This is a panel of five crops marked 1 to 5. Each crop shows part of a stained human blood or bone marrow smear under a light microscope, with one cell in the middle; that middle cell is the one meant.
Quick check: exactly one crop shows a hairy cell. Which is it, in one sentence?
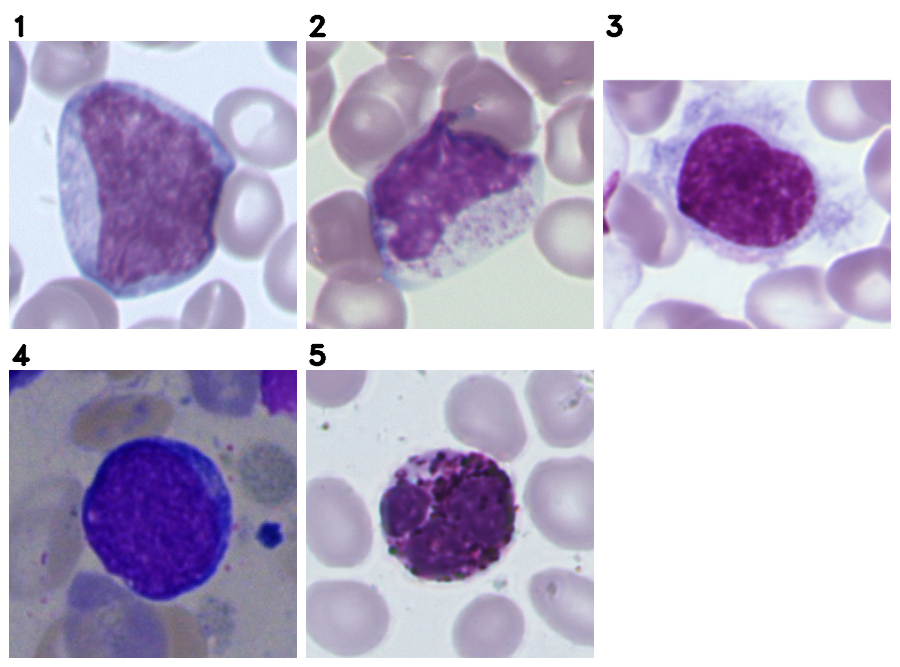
The crop marked 3 is the one that shows a hairy cell.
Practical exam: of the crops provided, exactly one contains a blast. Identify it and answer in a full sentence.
The sole crop showing a blast is crop 4.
